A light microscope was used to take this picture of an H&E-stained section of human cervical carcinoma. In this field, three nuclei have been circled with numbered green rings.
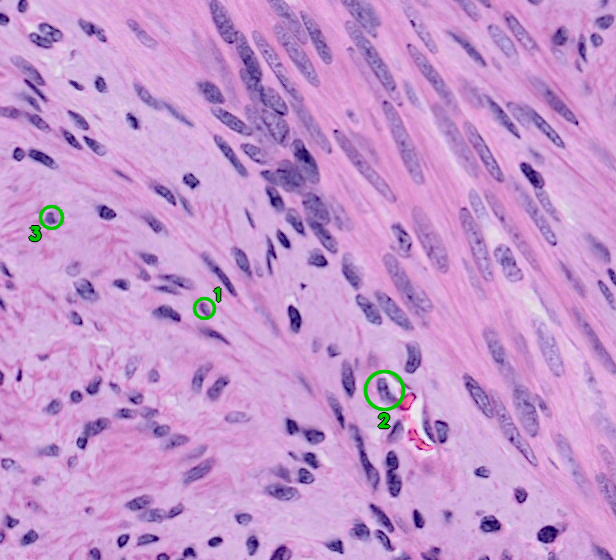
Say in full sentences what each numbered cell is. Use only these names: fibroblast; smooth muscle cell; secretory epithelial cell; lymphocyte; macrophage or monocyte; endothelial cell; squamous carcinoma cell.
Cells 1 and 3 are smooth muscle cells. Cell 2 is an endothelial cell.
